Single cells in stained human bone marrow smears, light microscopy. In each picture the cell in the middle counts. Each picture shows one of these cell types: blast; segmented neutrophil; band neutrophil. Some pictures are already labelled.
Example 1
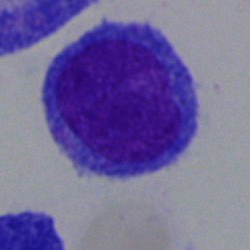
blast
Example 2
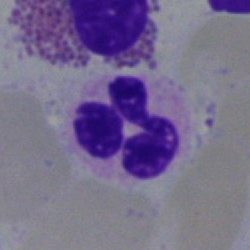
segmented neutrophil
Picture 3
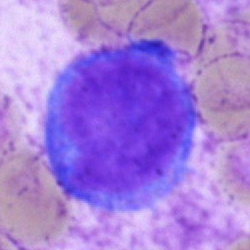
blast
